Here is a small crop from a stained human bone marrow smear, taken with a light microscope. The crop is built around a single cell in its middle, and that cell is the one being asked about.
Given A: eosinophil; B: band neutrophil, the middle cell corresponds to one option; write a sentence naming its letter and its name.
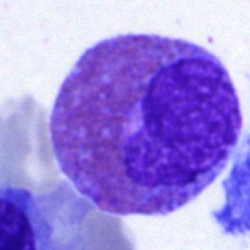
At the centre of the crop lies an eosinophil, which makes option A correct.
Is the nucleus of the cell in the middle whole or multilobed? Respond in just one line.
The nucleus is one compact mass, round, oval or kidney-shaped in outline.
